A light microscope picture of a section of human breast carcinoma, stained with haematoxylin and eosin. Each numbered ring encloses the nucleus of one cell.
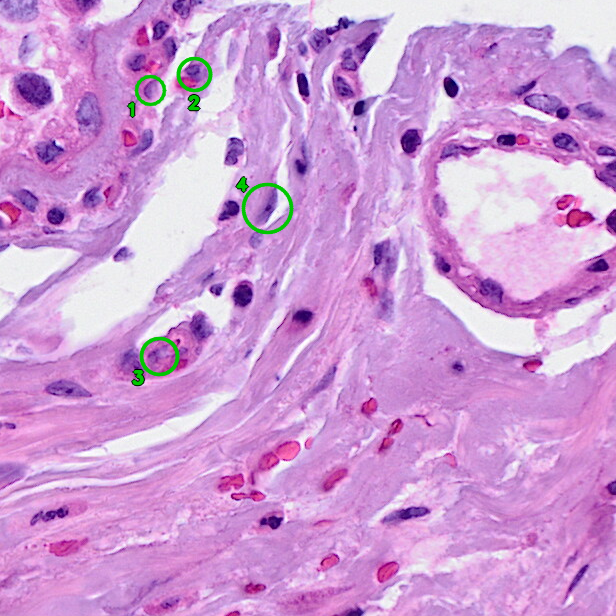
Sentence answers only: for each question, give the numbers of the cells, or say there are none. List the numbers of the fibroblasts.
The sole numbered cell that is a fibroblast is cell 4.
